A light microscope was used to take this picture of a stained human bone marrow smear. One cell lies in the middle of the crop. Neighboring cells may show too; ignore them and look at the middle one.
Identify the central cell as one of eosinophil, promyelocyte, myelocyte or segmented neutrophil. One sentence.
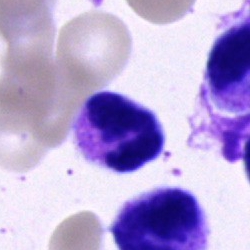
Of the cells in this crop, the central one is a segmented neutrophil.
